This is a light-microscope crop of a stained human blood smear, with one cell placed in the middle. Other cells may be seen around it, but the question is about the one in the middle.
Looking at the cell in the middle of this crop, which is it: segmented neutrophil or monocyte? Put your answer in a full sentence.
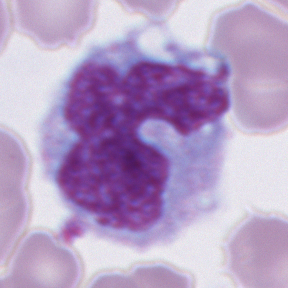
Framed in the middle of the crop is a monocyte.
